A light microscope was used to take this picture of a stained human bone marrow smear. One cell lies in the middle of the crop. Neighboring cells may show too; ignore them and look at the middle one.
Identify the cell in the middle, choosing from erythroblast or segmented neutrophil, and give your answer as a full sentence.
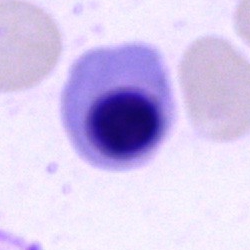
In the center of this field lies an erythroblast.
